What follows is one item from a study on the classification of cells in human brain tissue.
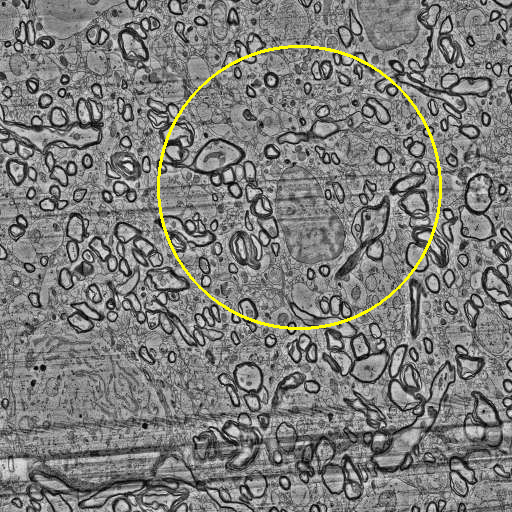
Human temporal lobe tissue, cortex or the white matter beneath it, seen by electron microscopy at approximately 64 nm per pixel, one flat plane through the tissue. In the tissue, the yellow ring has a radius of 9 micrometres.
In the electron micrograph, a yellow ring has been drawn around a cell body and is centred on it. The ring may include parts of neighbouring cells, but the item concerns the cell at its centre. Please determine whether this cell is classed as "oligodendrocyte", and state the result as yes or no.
no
